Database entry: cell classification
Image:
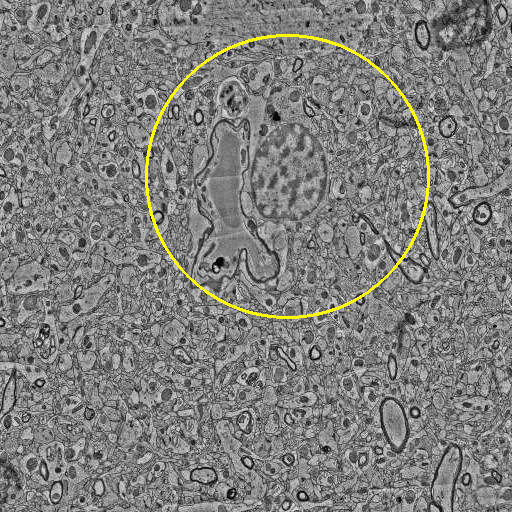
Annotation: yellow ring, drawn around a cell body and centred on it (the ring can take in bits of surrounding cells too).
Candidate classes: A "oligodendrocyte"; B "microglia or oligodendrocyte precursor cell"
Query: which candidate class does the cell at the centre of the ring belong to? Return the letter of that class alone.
A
